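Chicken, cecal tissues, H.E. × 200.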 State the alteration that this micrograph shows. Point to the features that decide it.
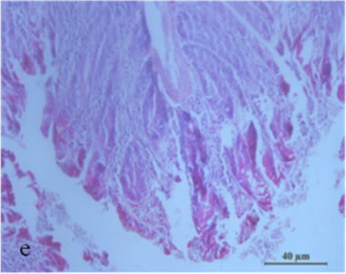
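The mucosal folds are ragged and broken at their tips. Detached fragments of tissue lie in the lumen beside the mucosa.
Damaged intestinal villi.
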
